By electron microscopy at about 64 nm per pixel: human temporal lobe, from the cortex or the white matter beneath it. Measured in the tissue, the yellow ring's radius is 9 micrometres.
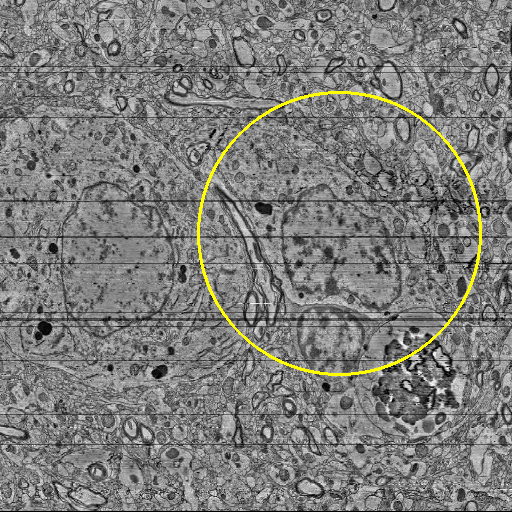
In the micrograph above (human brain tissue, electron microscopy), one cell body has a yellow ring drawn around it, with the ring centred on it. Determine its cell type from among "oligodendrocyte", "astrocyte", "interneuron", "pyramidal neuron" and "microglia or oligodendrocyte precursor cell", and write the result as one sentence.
The cell whose body is ringed is an interneuron.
